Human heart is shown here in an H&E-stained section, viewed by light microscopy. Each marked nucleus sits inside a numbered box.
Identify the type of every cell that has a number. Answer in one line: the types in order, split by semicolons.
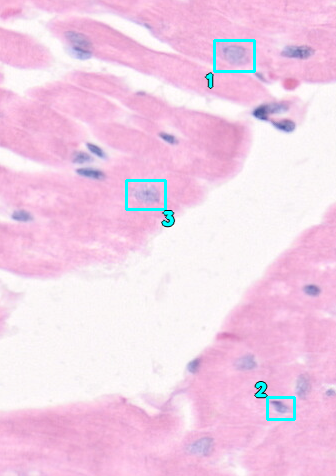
cardiomyocyte; endothelial cell; cardiomyocyte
